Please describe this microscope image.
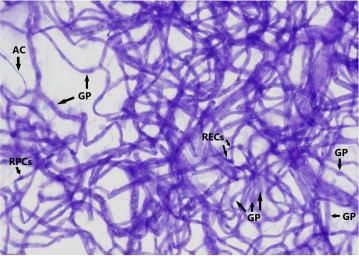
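A flat preparation of the retinal capillary network, with the vessel walls stained purple. The capillaries form a dense, tangled, tightly packed meshwork with small spaces between them. Some of the capillaries are thin, faint strands.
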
